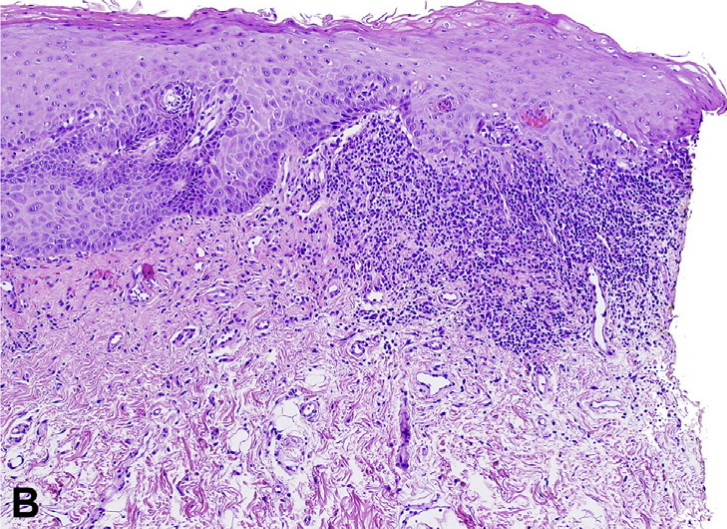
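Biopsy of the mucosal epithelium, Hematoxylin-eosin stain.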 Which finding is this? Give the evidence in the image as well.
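A dense band of small dark round cells lies directly beneath the epithelium. The band blurs the lower edge of the epithelium. On this evidence: lichenoid infiltrate.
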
